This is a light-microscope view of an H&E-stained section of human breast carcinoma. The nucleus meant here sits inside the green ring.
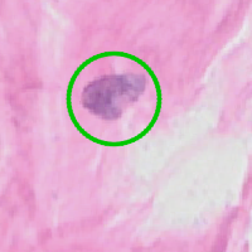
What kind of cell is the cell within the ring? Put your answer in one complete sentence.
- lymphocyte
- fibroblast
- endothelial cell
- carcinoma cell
Among the cells in this section, the cell within the ring is a fibroblast.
